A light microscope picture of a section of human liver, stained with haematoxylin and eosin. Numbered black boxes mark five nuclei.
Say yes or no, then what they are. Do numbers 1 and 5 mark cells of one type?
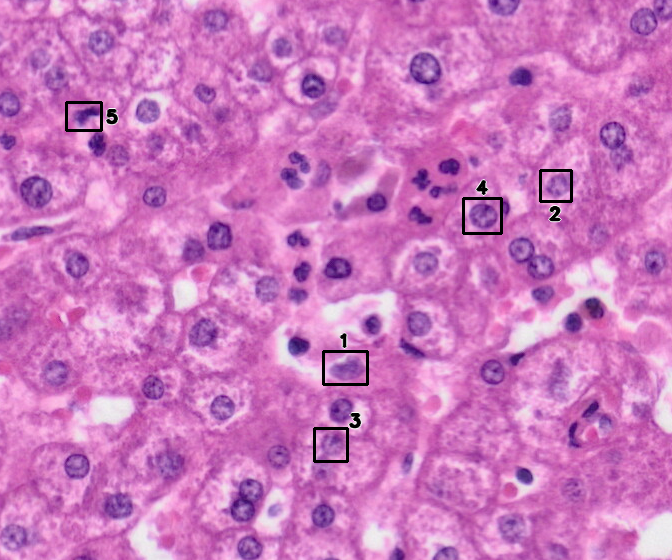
Yes, both are endothelial cells.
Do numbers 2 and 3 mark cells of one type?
Yes, both are hepatocytes.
